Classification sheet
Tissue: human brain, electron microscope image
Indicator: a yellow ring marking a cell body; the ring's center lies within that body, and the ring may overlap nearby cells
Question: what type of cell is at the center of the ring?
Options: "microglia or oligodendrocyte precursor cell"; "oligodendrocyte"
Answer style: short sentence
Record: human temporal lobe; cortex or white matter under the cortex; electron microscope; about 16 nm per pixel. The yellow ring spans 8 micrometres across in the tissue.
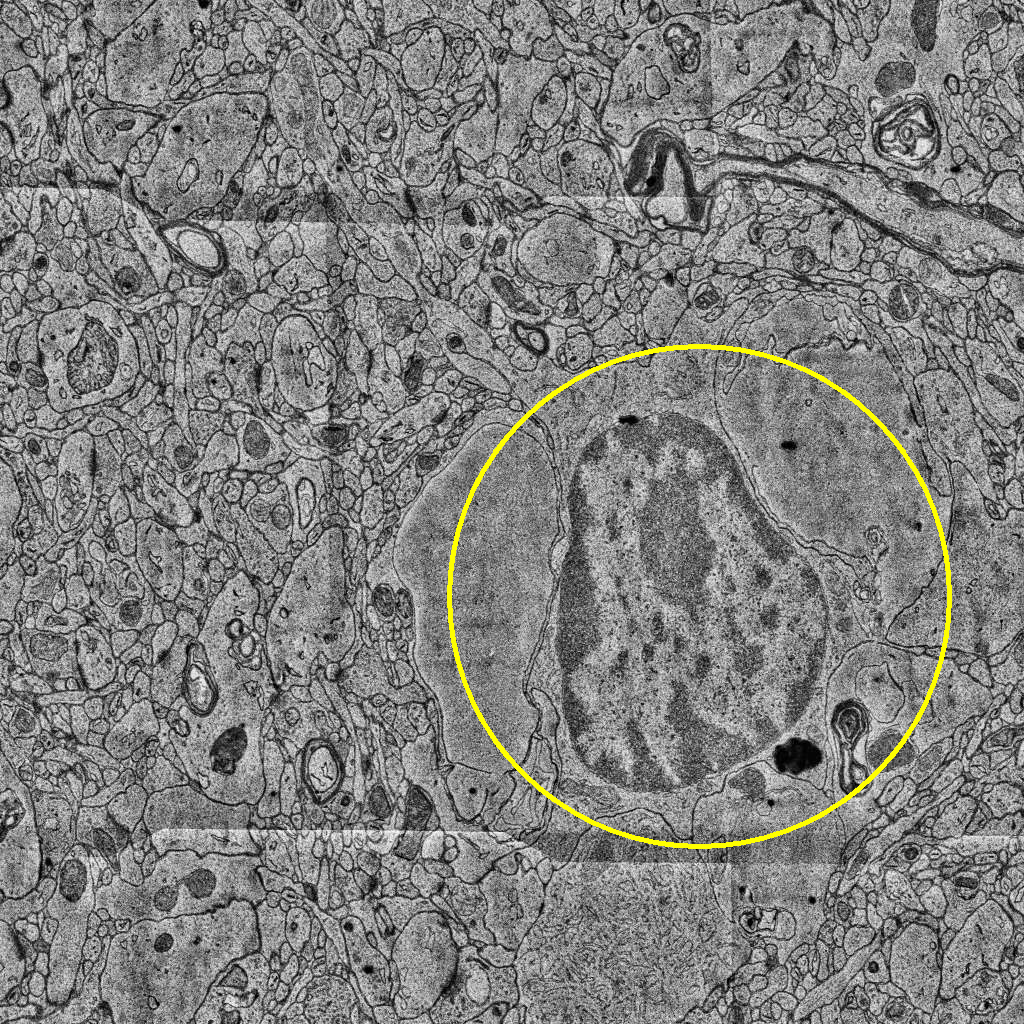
At the ring's center is a microglial cell or oligodendrocyte precursor cell.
